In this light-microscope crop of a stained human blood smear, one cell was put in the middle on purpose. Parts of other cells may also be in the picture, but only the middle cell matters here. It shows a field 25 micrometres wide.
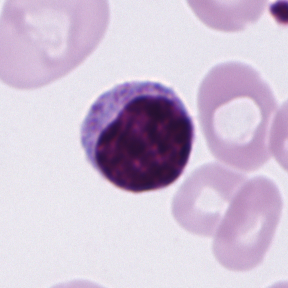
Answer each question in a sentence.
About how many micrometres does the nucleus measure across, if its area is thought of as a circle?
The diameter of the nucleus comes to about 8 micrometres.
